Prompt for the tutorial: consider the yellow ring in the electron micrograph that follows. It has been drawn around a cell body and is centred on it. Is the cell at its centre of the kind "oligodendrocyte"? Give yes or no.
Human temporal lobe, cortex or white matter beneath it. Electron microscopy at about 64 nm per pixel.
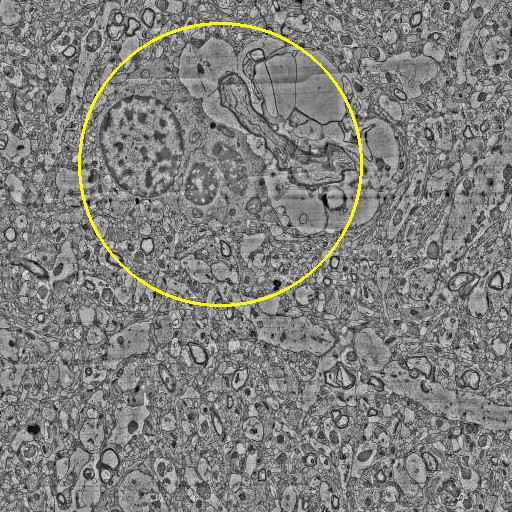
yes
